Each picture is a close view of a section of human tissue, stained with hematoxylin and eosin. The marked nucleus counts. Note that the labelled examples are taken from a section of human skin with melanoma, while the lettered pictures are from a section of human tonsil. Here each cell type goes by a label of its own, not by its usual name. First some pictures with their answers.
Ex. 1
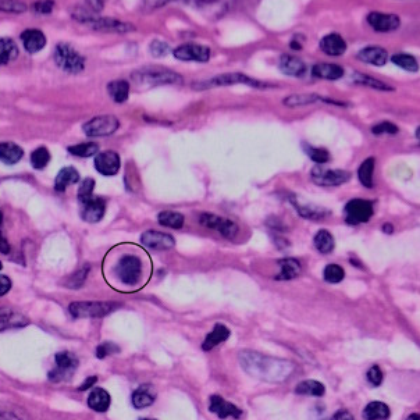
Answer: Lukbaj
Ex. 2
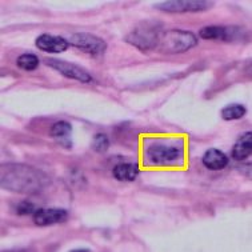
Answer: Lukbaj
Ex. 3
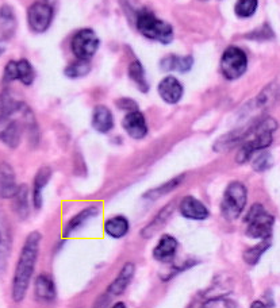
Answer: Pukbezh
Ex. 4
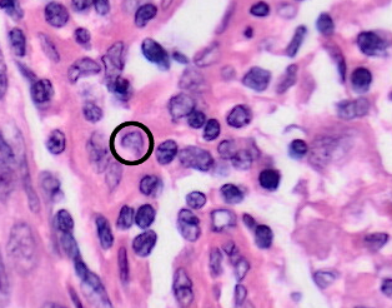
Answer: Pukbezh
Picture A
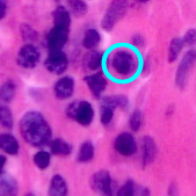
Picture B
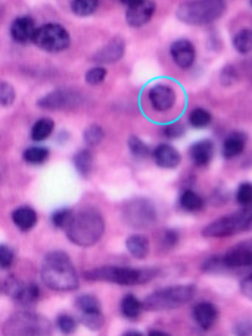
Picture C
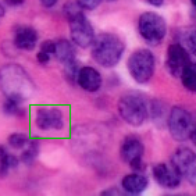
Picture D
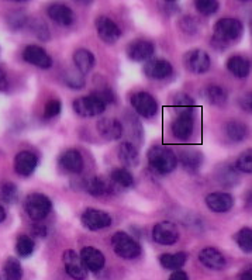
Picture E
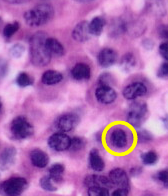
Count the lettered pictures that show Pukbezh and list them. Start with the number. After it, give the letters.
1: C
